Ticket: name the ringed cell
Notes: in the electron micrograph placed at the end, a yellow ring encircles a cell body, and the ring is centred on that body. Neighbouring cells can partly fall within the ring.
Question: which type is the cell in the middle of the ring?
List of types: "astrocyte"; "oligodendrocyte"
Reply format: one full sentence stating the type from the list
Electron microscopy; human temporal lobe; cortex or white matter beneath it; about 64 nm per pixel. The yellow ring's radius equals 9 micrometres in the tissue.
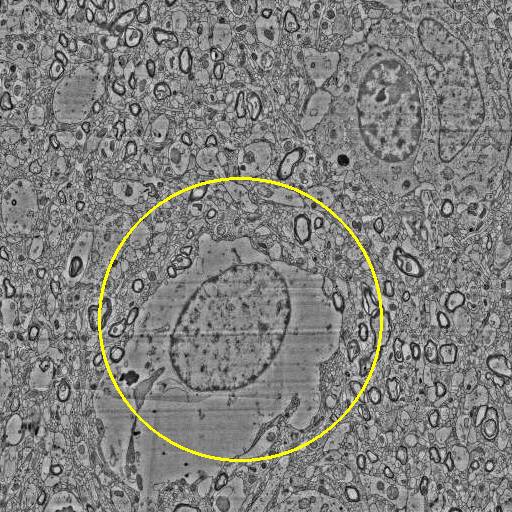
The cell sitting at the centre of the yellow ring is an astrocyte.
